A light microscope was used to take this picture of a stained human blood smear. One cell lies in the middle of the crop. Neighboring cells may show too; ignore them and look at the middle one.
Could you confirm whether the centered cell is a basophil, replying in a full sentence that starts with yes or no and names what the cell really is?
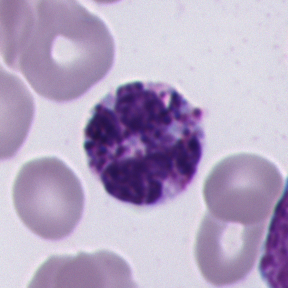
Yes, what sits in the middle of the crop is a basophil.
